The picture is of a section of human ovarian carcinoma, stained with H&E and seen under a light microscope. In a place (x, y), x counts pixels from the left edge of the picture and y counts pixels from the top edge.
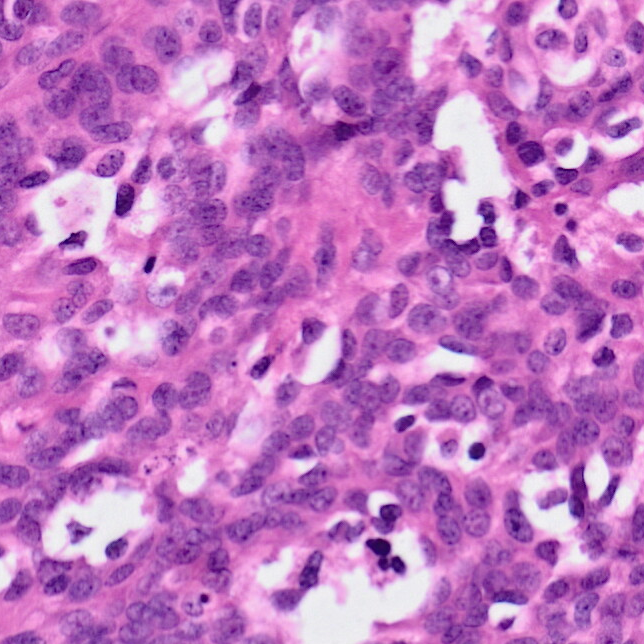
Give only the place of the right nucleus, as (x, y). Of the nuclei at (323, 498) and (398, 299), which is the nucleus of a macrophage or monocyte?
(398, 299)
